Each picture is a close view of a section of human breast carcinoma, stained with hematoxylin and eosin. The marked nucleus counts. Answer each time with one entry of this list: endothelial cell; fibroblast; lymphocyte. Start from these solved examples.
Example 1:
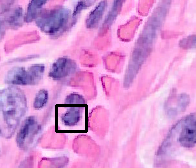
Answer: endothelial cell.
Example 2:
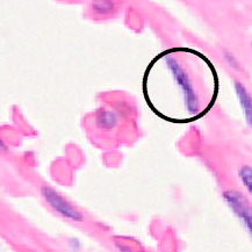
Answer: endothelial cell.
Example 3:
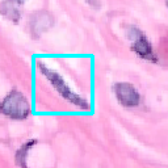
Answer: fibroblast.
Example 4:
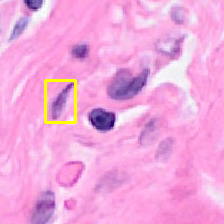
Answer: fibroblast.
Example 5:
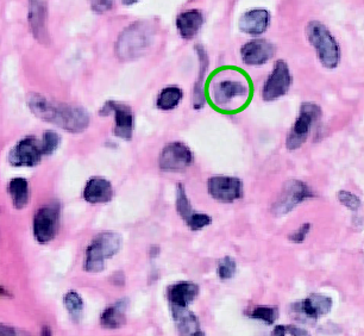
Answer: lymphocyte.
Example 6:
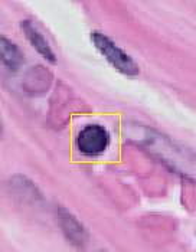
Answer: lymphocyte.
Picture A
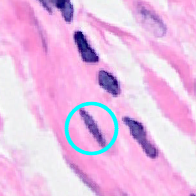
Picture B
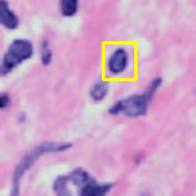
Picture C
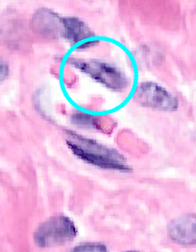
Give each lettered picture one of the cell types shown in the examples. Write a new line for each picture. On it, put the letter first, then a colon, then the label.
A: fibroblast.
B: lymphocyte.
C: endothelial cell.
